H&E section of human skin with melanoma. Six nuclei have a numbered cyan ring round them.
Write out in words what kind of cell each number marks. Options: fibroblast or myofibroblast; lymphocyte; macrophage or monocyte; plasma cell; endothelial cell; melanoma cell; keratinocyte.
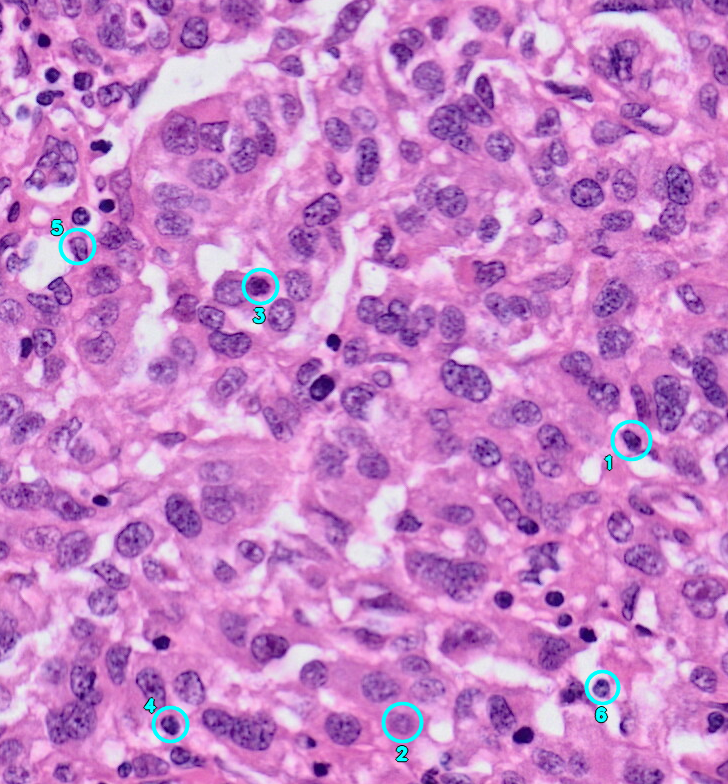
Cell 1 is a lymphocyte, cell 2 is a melanoma cell, cell 3 is a melanoma cell, cell 4 is a lymphocyte, cell 5 is a macrophage or monocyte and cell 6 is a lymphocyte.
